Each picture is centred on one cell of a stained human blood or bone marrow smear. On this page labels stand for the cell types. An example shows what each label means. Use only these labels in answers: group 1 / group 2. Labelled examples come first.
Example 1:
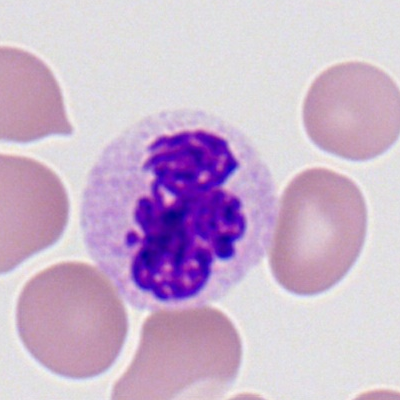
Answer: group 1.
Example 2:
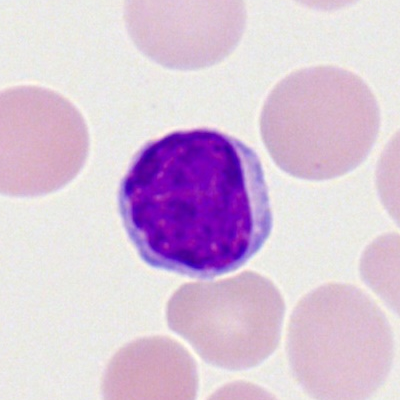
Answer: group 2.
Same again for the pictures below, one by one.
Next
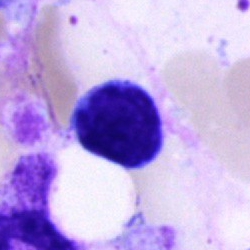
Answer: group 2.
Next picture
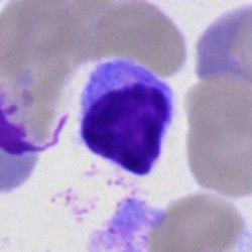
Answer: group 2.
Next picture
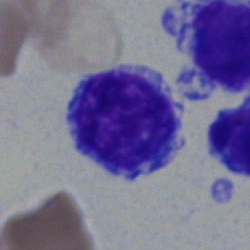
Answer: group 2.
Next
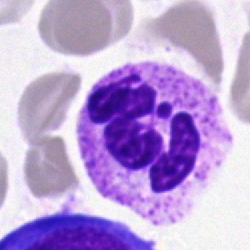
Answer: group 1.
